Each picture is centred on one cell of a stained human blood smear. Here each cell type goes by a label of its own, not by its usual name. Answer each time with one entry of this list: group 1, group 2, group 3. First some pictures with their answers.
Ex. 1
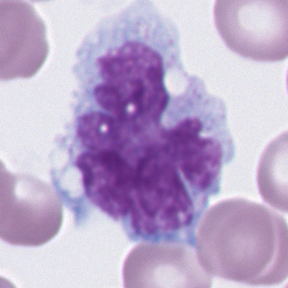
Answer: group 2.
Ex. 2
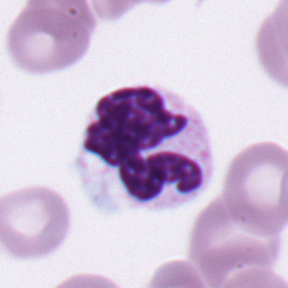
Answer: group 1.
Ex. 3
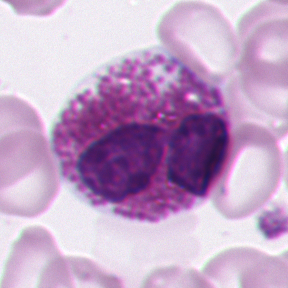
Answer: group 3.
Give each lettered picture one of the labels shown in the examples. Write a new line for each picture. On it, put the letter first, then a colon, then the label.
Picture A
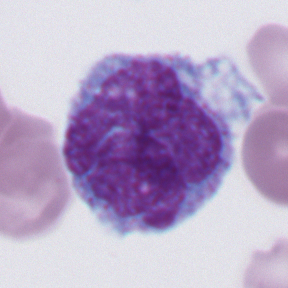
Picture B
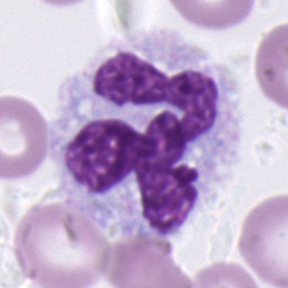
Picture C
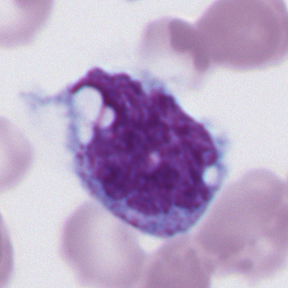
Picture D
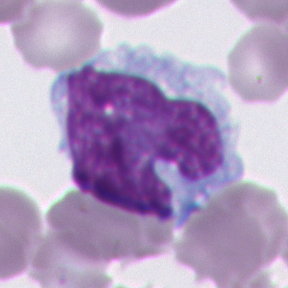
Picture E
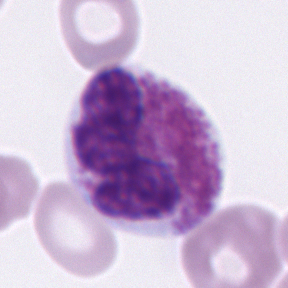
A: group 2.
B: group 2.
C: group 2.
D: group 2.
E: group 3.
